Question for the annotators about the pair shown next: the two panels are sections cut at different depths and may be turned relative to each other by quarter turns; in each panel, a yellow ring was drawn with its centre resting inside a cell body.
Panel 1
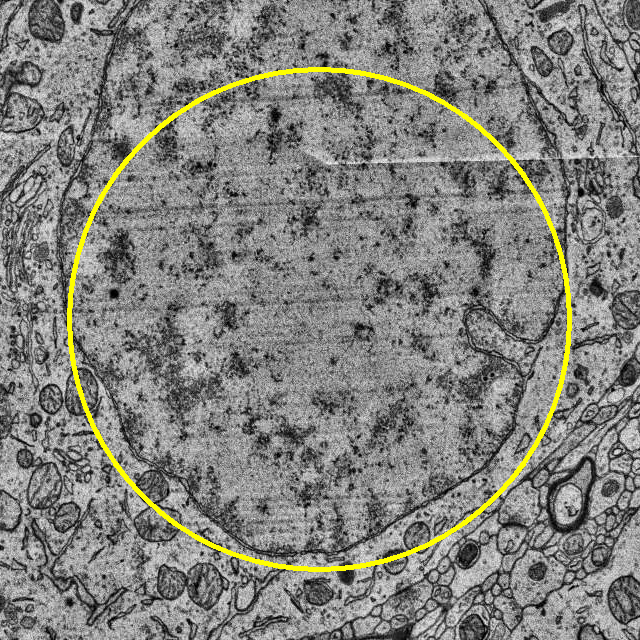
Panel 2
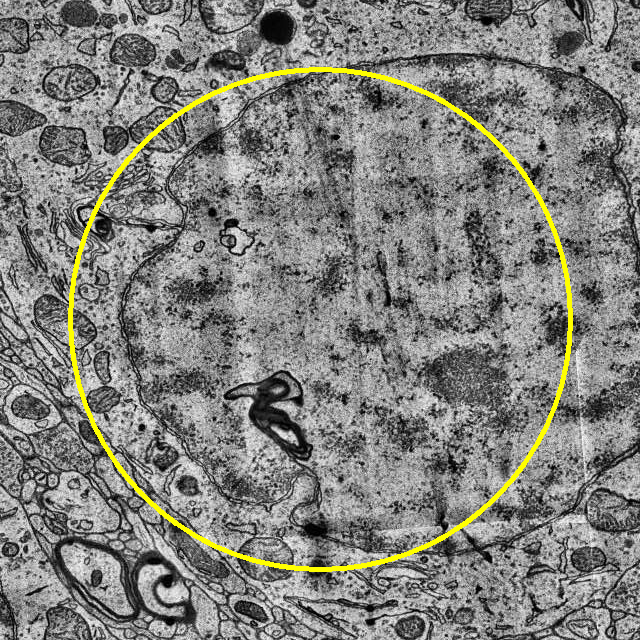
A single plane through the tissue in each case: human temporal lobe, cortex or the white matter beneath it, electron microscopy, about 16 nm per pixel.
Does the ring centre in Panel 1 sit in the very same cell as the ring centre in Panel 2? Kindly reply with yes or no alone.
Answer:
yes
